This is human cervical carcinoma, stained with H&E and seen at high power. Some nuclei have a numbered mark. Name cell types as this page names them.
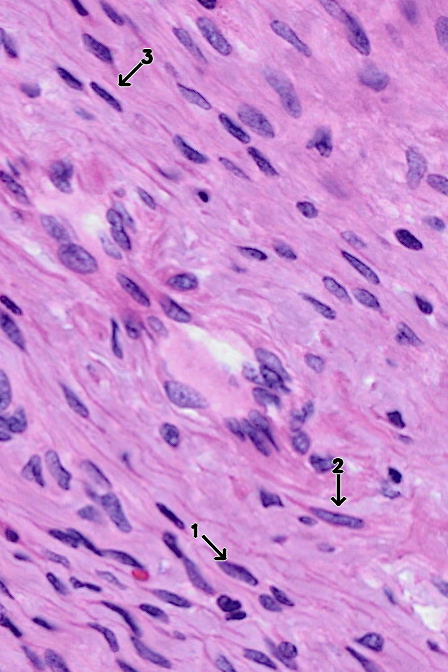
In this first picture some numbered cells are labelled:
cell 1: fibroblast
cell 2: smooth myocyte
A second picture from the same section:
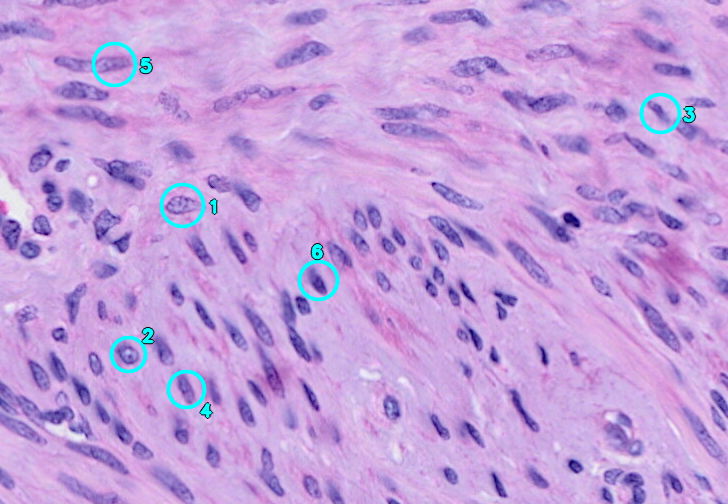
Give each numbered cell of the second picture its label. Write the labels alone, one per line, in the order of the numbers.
smooth myocyte
smooth myocyte
fibroblast
smooth myocyte
smooth myocyte
fibroblast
